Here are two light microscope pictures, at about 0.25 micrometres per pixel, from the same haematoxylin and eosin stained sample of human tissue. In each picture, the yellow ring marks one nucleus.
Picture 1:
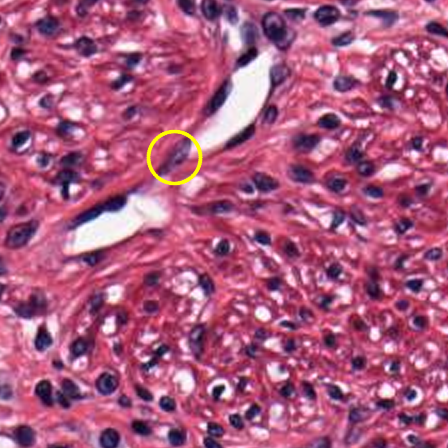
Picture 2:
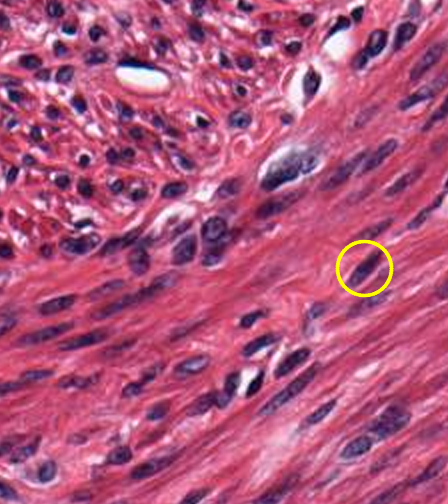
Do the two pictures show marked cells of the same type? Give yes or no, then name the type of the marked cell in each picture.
No, the first is an endothelial cell and the second a smooth muscle cell.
